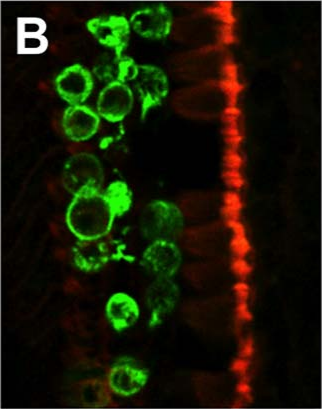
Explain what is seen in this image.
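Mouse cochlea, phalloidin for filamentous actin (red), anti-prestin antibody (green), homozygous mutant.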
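This surface view of the organ of Corti shows outer hair cells on the left and the row of inner hair cells on the right. Many outer hair cells are missing, so the remaining green-outlined round cells are scattered with dark gaps between them. In several of the remaining cells the green is broken into dots and clumps rather than a smooth rim.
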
